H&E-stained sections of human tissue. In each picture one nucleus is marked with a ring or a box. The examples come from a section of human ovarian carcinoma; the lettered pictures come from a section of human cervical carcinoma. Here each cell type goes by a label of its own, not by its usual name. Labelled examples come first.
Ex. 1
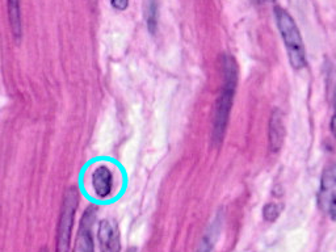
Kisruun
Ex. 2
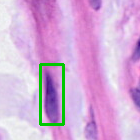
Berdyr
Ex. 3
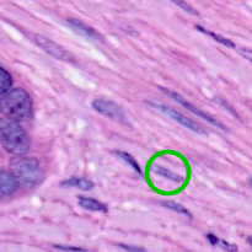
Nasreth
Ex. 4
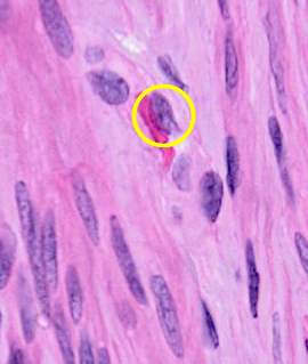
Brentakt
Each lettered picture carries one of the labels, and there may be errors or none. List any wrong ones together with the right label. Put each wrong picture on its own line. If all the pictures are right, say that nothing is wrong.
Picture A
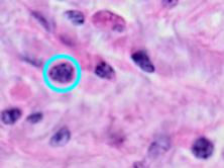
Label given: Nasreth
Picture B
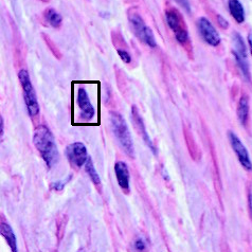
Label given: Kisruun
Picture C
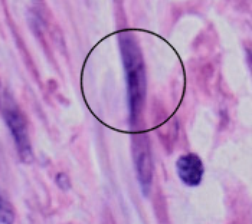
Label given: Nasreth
A should be Kisruun, not Nasreth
